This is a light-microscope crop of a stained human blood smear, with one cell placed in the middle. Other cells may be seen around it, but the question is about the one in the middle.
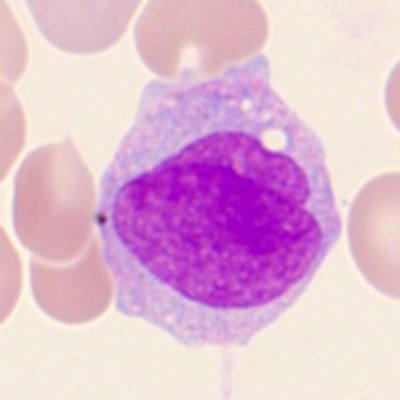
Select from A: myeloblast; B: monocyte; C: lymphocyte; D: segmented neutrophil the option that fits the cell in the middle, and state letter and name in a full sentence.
At the centre of the crop lies a monocyte, which makes option B correct.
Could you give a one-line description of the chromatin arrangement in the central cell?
The chromatin is fine; coarse clumps are not a feature here.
